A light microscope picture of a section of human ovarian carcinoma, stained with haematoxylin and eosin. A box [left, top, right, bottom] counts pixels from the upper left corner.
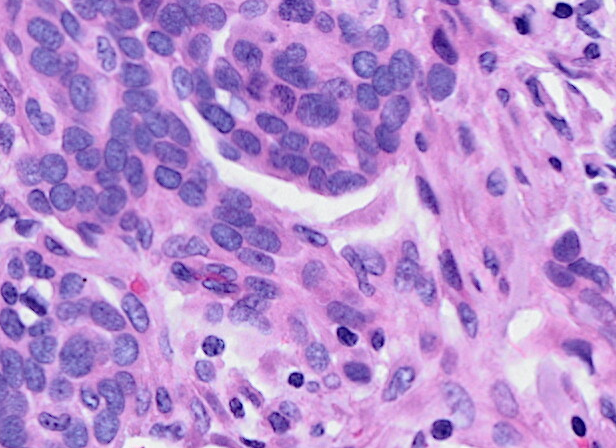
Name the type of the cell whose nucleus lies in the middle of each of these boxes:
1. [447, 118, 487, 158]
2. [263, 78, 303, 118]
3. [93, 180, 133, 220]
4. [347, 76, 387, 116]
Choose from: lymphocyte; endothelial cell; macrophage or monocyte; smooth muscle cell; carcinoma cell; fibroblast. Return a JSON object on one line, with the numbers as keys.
{"1": "fibroblast", "2": "carcinoma cell", "3": "carcinoma cell", "4": "carcinoma cell"}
